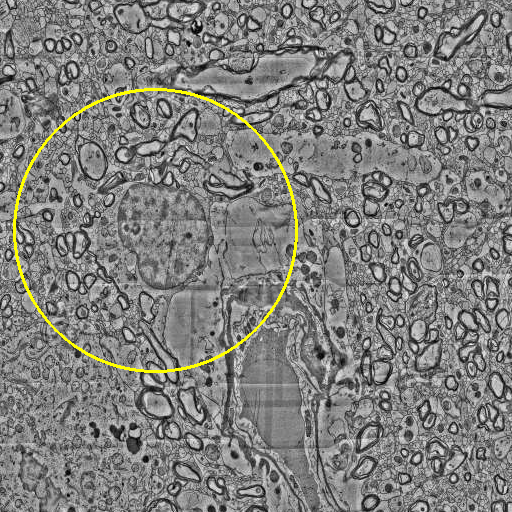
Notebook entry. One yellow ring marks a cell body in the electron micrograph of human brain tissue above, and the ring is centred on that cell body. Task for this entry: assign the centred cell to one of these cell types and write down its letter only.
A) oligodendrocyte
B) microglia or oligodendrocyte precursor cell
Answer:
A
